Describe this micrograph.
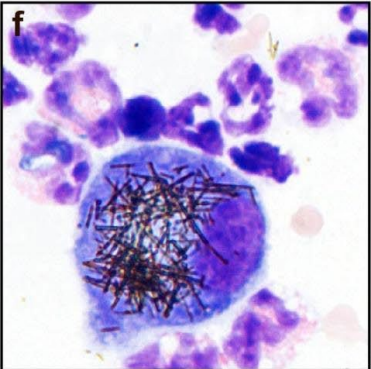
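A large macrophage dominates the field, its wide pale blue cytoplasm crowded with many straight black fibers lying in all directions, with its purple nucleus pushed to one side. Around it lie smaller granulocytes with lobed or ring-shaped nuclei and pinkish granular cytoplasm, and a few pale pink red blood cells.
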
